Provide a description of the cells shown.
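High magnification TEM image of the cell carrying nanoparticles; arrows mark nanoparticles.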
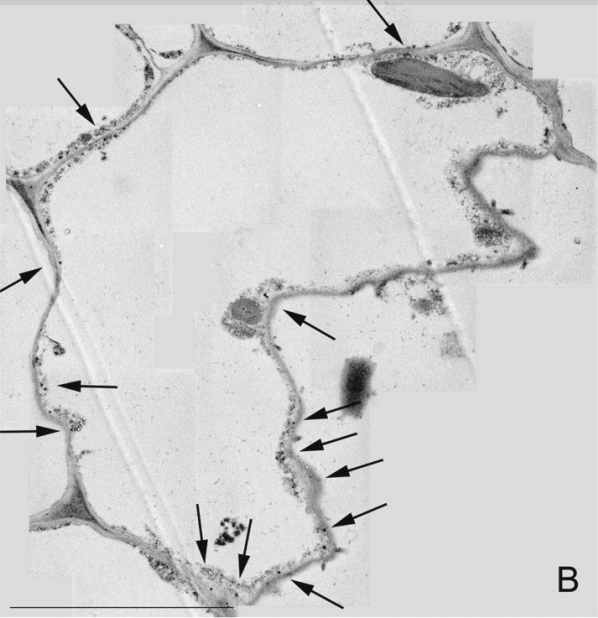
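A single vacuolated plant cell is outlined by a grey cell wall, with parts of neighbouring cells at its edges. The interior is mostly an empty, pale vacuole. A thin band of granular cytoplasm lines the wall. Near the top a dense, elongated, striated body lies against the wall.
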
